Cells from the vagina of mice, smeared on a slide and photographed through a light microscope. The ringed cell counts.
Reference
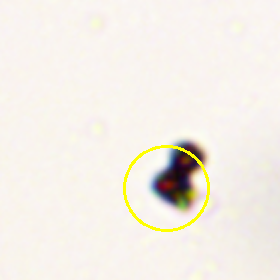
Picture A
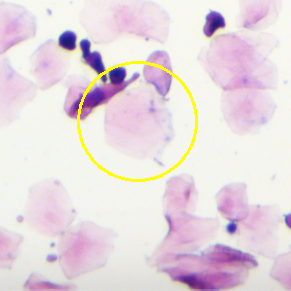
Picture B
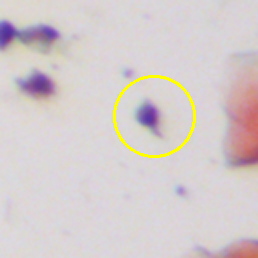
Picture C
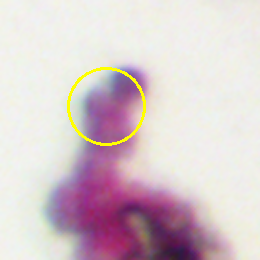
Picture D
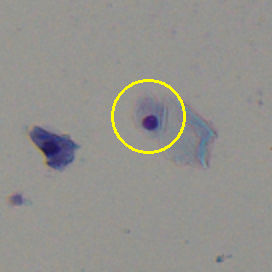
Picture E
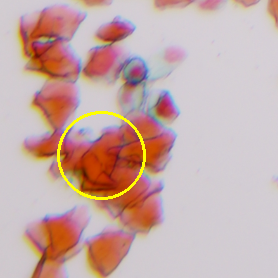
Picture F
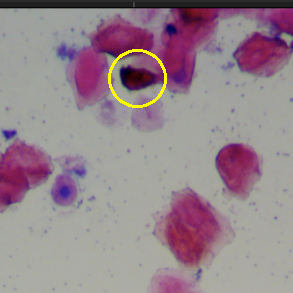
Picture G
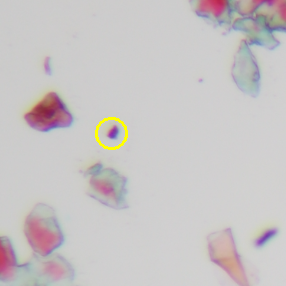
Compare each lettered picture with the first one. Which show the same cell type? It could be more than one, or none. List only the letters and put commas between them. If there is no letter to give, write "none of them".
B, C, G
